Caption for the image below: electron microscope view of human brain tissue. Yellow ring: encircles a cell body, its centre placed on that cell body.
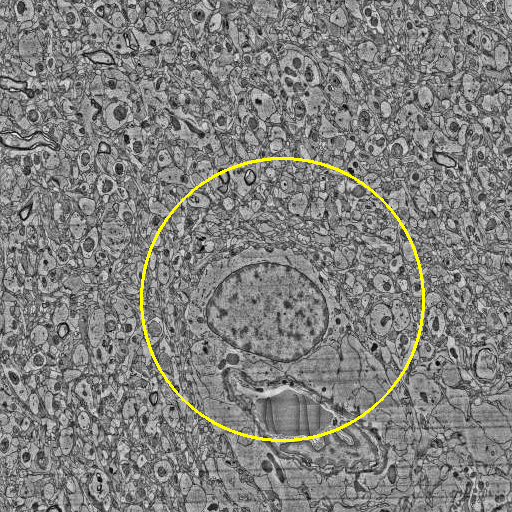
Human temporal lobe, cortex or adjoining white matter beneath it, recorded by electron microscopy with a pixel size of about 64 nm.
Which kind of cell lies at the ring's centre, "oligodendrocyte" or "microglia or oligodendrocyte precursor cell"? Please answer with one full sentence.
The picture shows a microglial cell or oligodendrocyte precursor cell at the centre of the yellow ring.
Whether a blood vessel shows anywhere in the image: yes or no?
Yes, a blood vessel shows in the picture.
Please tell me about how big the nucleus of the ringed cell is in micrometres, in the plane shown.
The ringed cell's nucleus measures approximately 8 by 6 micrometres in this plane.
